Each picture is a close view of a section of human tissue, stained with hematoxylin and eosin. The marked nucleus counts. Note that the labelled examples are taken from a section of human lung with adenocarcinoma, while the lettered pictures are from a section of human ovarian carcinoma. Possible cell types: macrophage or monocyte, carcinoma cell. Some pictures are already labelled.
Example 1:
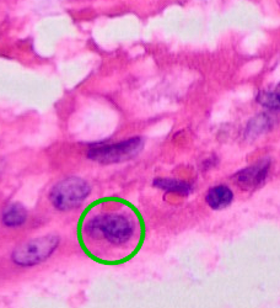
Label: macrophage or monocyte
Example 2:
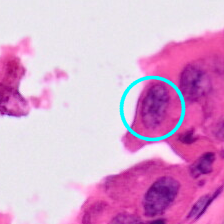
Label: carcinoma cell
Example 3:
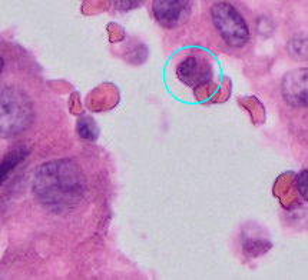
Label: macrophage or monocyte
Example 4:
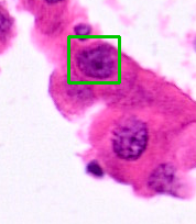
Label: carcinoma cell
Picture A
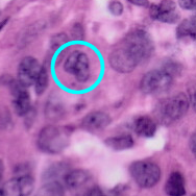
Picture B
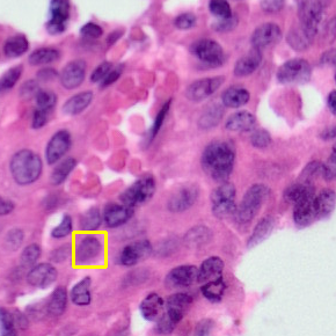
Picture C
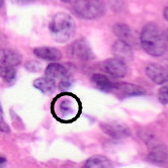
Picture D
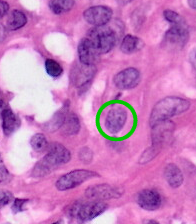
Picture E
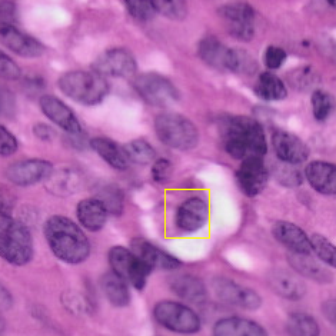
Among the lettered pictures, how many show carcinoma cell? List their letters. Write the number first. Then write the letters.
Count: 1 (B)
